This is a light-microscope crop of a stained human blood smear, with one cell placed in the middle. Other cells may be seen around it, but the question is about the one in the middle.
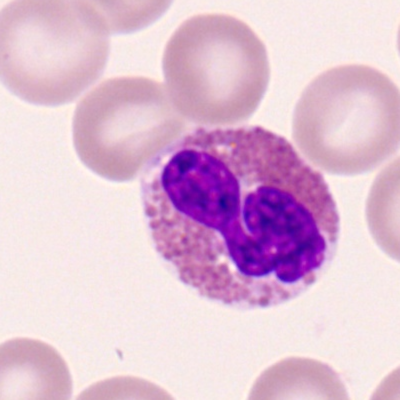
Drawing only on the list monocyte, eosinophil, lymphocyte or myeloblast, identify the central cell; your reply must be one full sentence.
The cell at the heart of this crop is an eosinophil.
